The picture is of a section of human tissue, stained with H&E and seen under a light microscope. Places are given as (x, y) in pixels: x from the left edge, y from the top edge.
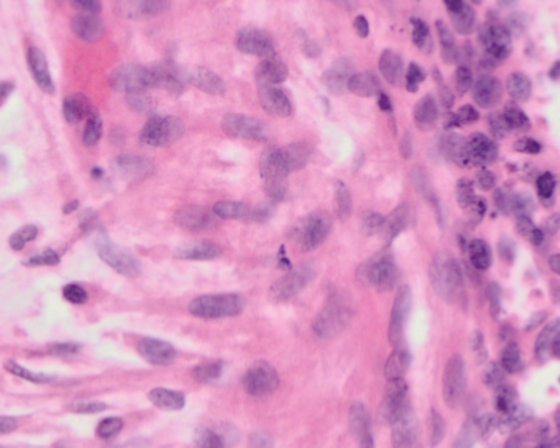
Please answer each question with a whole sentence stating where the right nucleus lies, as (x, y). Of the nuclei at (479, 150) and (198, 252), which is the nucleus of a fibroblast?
Only the nucleus at (198, 252), of the two, belongs to a fibroblast.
